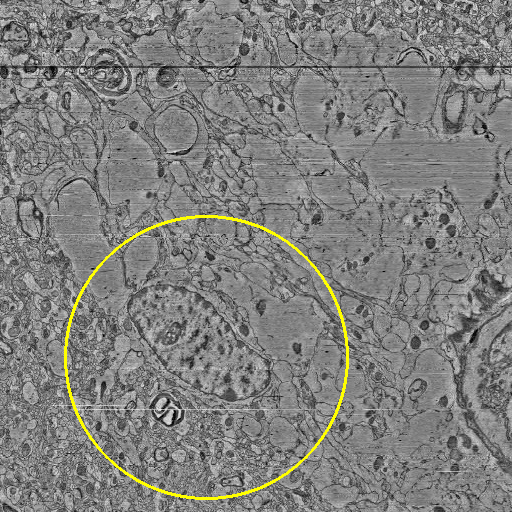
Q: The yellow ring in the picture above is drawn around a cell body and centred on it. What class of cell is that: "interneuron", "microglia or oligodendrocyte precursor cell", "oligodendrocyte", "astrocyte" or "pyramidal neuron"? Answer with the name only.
microglia or oligodendrocyte precursor cell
